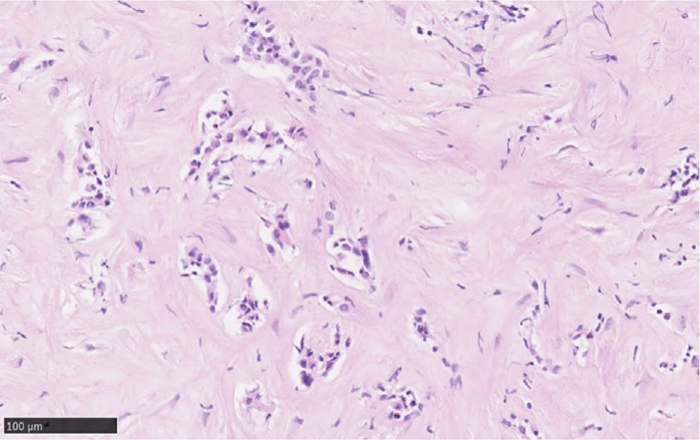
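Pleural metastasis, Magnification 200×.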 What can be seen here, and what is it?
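The tumour cells have dark, crowded nuclei and scant cytoplasm, and many groups sit within clear spaces in the stroma. Only scattered thin spindle-shaped stromal nuclei lie between them, and there are no aggregates of lymphocytes.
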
